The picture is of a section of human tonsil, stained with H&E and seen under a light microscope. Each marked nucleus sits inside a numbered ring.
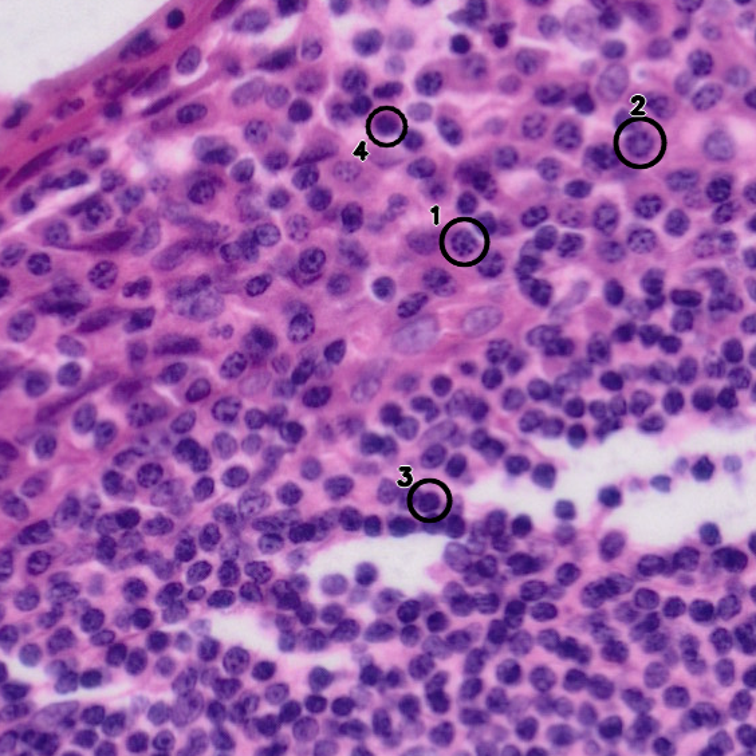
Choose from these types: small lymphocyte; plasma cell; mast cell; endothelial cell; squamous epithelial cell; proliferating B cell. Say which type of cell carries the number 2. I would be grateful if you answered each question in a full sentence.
The mark numbered 2 indicates the nucleus of a plasma cell.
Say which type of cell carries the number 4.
The cell identified by number 4 is a plasma cell.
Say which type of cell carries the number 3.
The cell numbered 3 represents a small lymphocyte.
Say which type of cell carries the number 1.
Here the cell numbered 1 is a plasma cell.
